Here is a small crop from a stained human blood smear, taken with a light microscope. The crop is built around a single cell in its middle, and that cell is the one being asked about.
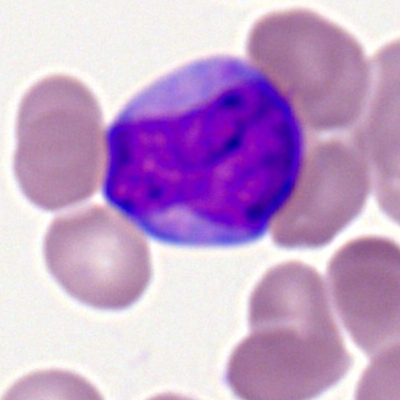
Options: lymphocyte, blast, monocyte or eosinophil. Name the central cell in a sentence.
At the center of the crop sits a blast.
